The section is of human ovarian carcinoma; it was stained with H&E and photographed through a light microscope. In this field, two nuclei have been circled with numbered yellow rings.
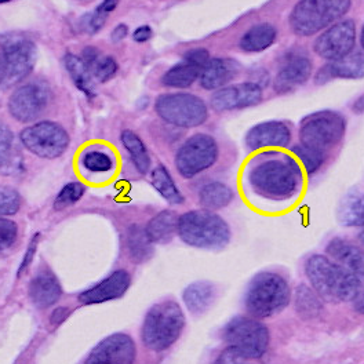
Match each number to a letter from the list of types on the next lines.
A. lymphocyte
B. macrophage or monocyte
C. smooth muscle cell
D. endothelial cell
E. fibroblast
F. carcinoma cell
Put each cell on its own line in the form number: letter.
1: F
2: A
